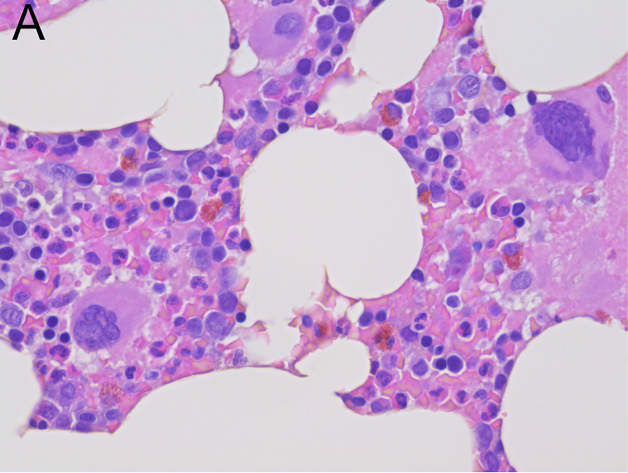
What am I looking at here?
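This is bone marrow with large round empty fat spaces and cords of blood-forming cells between them. Among the many small round cells with dark nuclei lie a couple of very large cells with abundant pale pink cytoplasm and big lobulated nuclei. The balance of fat and cells looks ordinary rather than crowded.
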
